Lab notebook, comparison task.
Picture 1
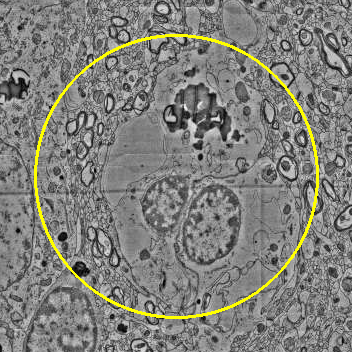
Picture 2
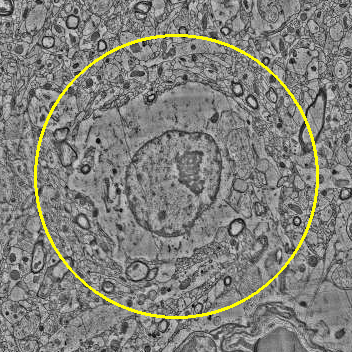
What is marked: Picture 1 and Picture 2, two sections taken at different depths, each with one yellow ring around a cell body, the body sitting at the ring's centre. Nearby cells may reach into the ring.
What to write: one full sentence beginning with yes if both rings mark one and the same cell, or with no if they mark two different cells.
No, the rings surround different cells rather than one cell.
